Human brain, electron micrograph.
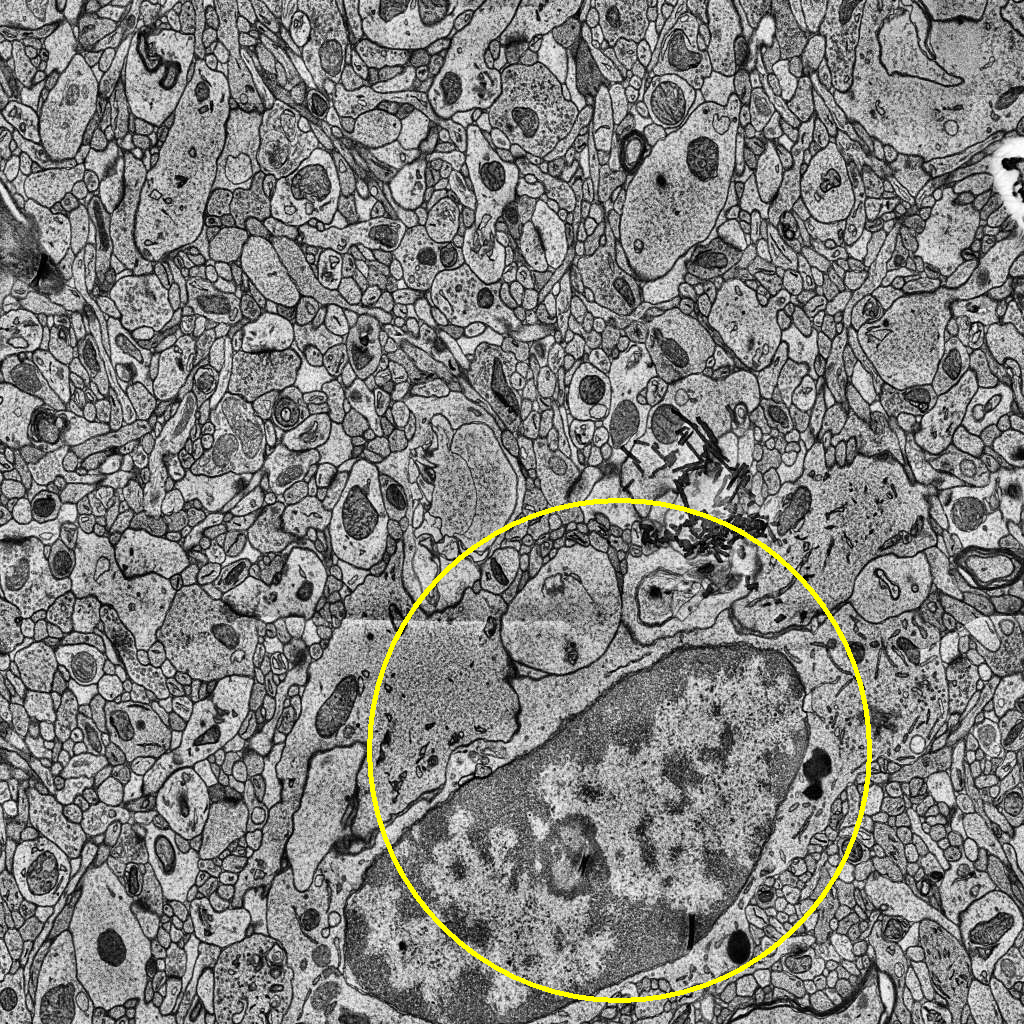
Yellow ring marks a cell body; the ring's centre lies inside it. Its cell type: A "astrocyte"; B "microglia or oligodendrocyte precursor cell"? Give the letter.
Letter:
B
